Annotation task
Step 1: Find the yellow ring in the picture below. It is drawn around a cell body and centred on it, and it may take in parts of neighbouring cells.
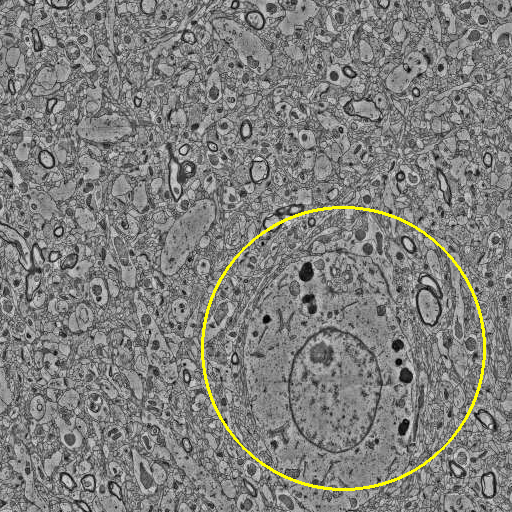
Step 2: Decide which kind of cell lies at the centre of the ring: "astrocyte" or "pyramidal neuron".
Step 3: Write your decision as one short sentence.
The kind of cell at the ring's centre is a pyramidal neuron.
